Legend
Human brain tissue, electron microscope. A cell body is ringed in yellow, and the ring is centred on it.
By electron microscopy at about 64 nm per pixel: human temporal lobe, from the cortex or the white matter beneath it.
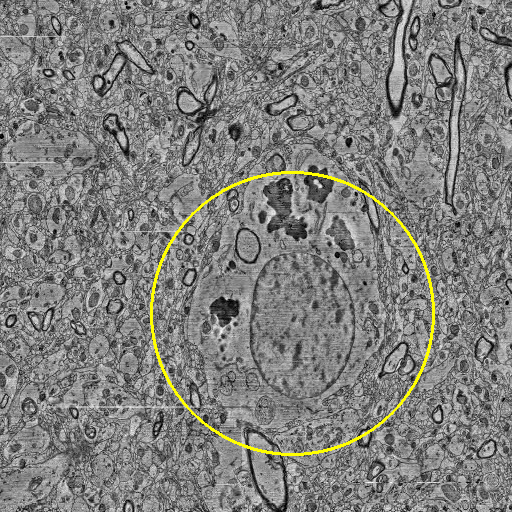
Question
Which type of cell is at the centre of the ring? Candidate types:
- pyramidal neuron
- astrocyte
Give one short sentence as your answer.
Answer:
The yellow ring is centred here on an astrocyte.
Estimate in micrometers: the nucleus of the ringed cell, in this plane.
The nucleus appears roughly 10 by 7 micrometres in this plane.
